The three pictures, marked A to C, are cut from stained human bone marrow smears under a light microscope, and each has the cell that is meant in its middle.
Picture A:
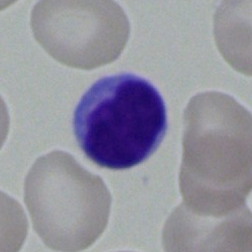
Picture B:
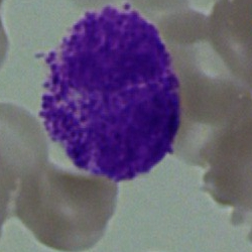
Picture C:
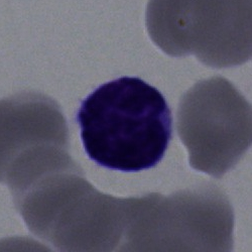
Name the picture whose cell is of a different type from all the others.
B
